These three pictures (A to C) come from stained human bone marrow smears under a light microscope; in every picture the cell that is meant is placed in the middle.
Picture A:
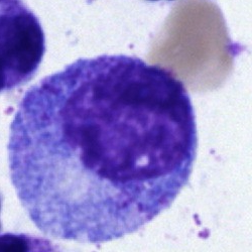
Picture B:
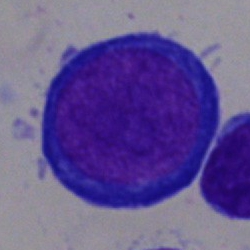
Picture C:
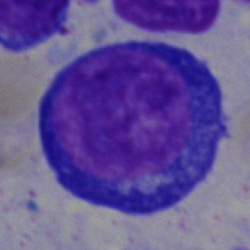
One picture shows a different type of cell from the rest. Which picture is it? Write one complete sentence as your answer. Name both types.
The others show proerythroblasts, but picture A shows a promyelocyte.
